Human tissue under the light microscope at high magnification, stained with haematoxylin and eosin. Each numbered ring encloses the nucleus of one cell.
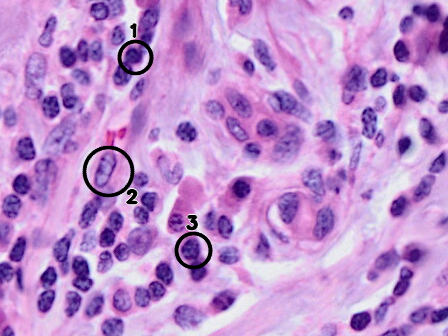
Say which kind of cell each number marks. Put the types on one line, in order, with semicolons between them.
lymphocyte; endothelial cell; lymphocyte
